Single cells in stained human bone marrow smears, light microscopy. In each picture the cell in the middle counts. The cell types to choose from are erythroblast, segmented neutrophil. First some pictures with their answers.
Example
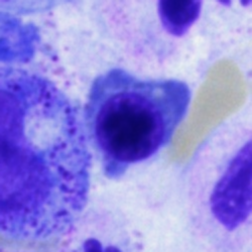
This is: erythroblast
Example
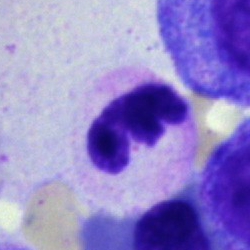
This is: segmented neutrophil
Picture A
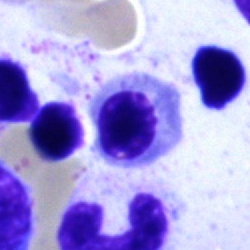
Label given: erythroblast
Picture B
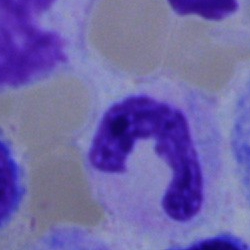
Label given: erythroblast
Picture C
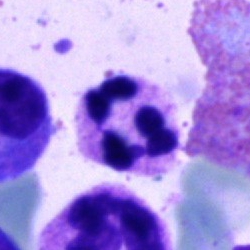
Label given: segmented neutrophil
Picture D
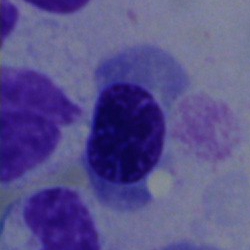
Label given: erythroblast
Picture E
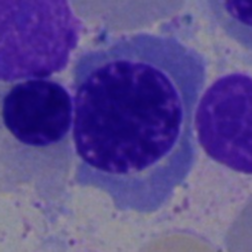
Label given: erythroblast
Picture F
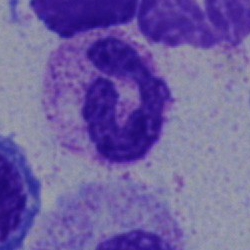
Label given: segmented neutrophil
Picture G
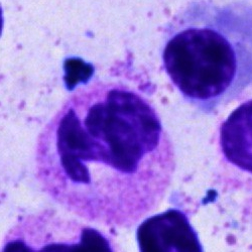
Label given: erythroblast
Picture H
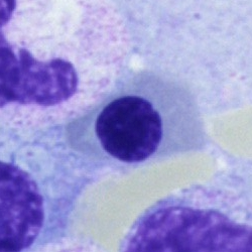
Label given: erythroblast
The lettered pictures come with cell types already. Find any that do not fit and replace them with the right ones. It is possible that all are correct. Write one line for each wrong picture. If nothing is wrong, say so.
B should be segmented neutrophil, not erythroblast
G should be segmented neutrophil, not erythroblast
